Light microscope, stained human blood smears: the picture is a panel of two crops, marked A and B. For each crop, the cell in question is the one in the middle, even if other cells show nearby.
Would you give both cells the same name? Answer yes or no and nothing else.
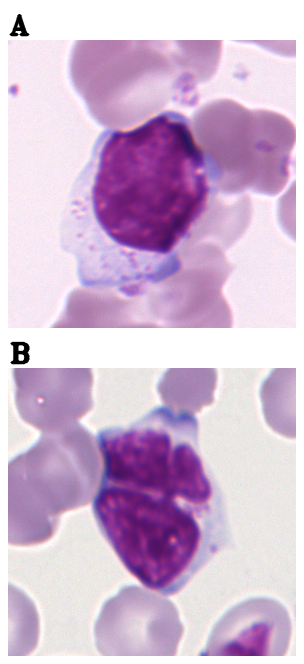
yes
